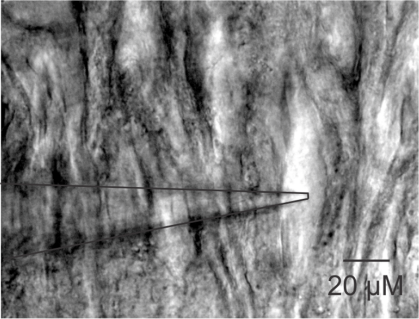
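The field is filled with elongated, streaky light and dark bands running mostly top to bottom, giving a fibrous, grainy texture in which individual cell borders are hard to pick out. The cell it is sealed onto sits at that tip, in a paler, smoother patch of the field.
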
